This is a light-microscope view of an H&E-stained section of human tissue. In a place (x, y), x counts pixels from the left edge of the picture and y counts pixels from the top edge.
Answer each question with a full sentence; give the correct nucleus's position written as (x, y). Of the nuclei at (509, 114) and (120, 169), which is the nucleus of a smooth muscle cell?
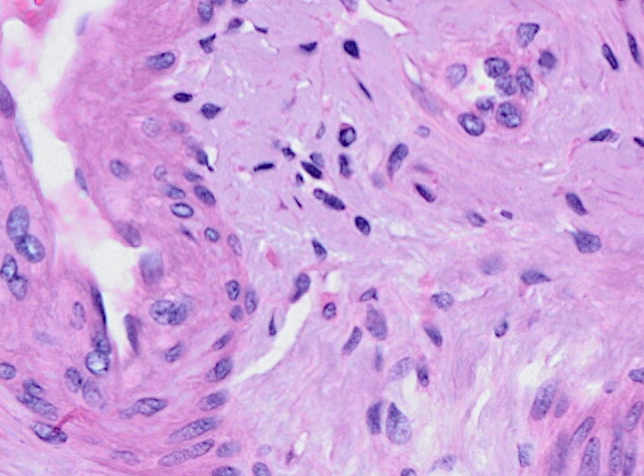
The nucleus at (120, 169) is part of a smooth muscle cell, while the other is not.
